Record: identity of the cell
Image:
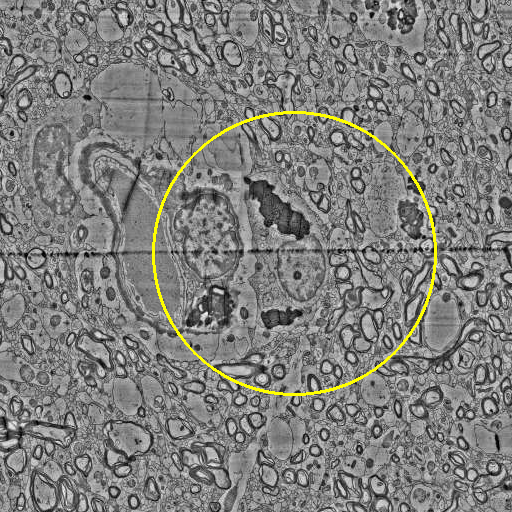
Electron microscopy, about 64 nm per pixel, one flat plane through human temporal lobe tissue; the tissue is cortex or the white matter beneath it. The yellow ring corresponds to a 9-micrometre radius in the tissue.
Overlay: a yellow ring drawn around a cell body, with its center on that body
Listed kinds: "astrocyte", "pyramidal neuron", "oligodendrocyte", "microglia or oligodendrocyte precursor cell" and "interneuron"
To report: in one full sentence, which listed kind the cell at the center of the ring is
In the image, the cell body at the ring's center belongs to an oligodendrocyte.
